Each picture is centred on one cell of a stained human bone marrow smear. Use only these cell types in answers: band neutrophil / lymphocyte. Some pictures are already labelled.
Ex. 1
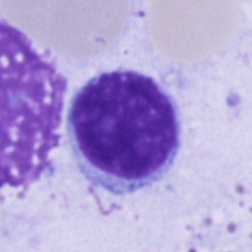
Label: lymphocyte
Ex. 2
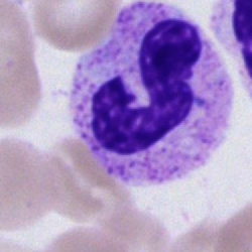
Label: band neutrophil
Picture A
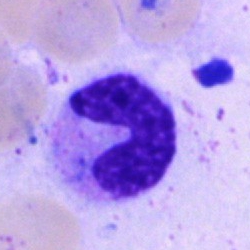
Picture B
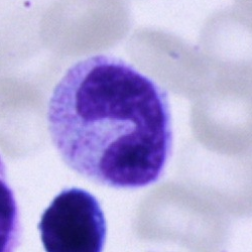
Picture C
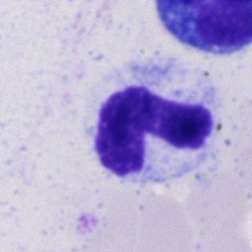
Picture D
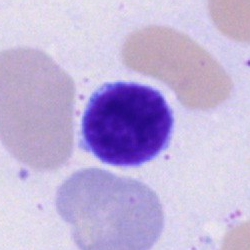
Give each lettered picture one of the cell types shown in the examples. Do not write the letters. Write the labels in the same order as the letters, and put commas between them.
band neutrophil, band neutrophil, band neutrophil, lymphocyte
